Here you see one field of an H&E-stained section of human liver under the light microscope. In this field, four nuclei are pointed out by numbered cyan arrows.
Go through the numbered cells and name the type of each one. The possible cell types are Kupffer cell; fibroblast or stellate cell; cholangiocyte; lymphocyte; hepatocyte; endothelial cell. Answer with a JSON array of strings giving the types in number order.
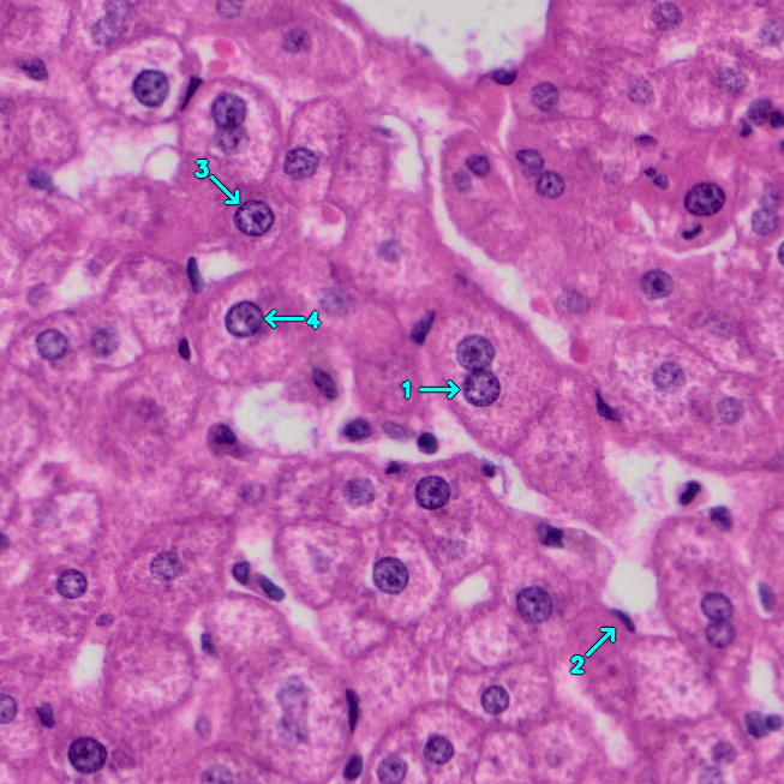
["hepatocyte", "endothelial cell", "hepatocyte", "hepatocyte"]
